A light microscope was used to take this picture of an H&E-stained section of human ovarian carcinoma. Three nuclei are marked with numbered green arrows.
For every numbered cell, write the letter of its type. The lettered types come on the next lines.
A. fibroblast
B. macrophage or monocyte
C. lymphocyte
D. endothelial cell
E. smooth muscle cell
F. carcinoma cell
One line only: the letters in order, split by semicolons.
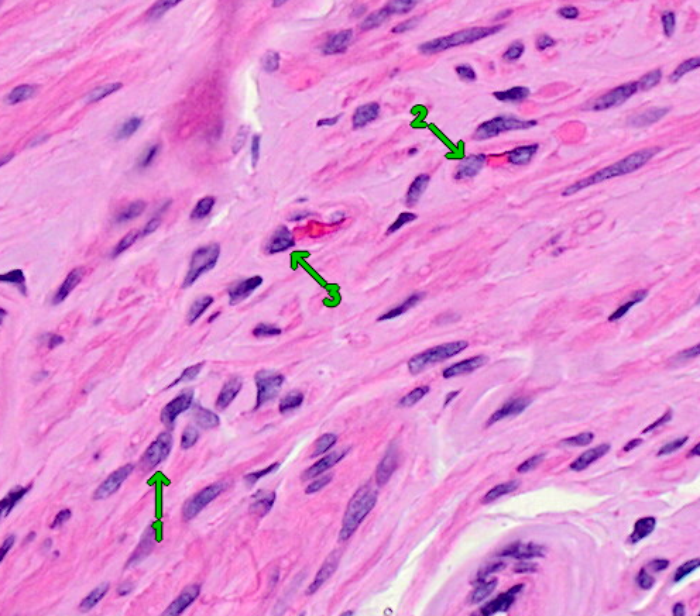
E; D; D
